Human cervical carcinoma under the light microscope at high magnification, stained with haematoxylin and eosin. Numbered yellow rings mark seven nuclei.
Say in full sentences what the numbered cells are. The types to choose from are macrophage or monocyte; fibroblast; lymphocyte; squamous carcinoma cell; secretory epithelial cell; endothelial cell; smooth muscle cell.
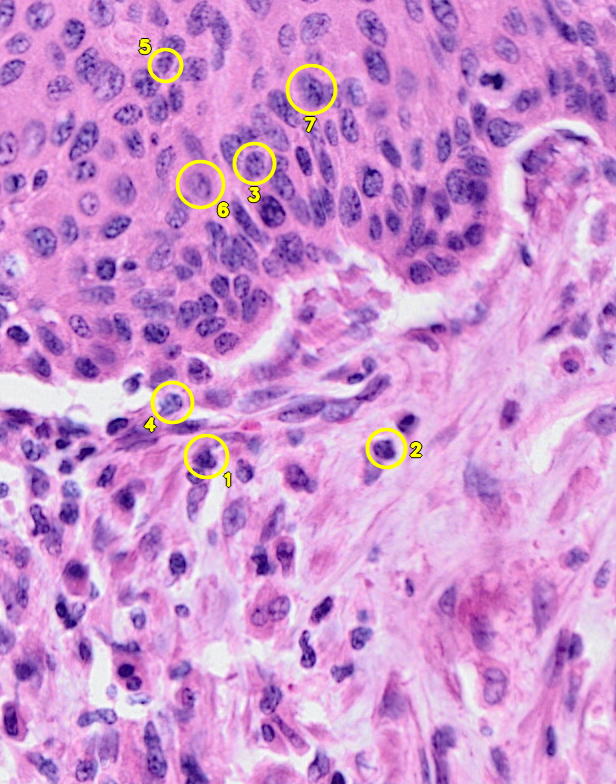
Cell 1 is a lymphocyte, cell 2 is a lymphocyte, cell 3 is a squamous carcinoma cell, cell 4 is a lymphocyte, cell 5 is a squamous carcinoma cell, cell 6 is a squamous carcinoma cell and cell 7 is a squamous carcinoma cell.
